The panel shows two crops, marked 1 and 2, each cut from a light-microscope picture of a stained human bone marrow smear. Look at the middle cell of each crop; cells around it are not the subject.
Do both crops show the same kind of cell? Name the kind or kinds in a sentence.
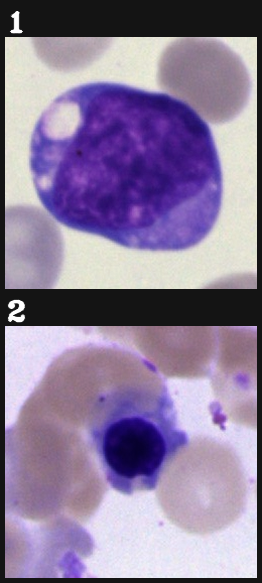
No, crop 1 corresponds to a blast, while crop 2 corresponds to an erythroblast.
